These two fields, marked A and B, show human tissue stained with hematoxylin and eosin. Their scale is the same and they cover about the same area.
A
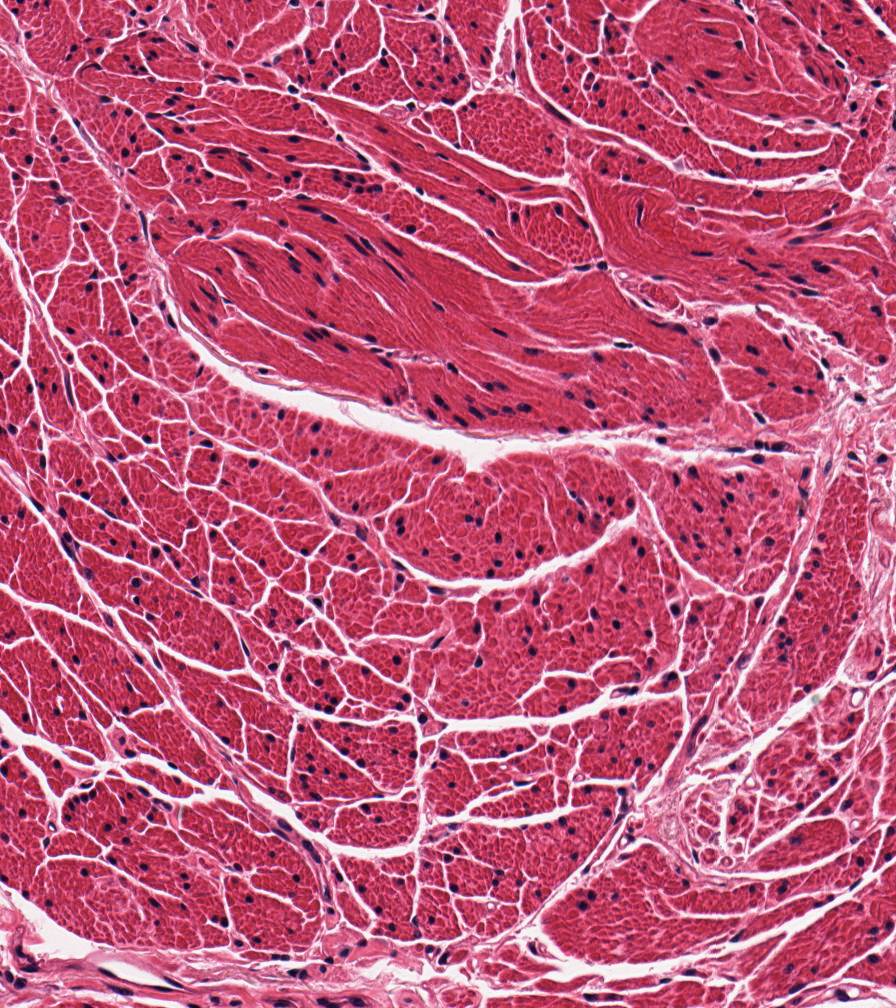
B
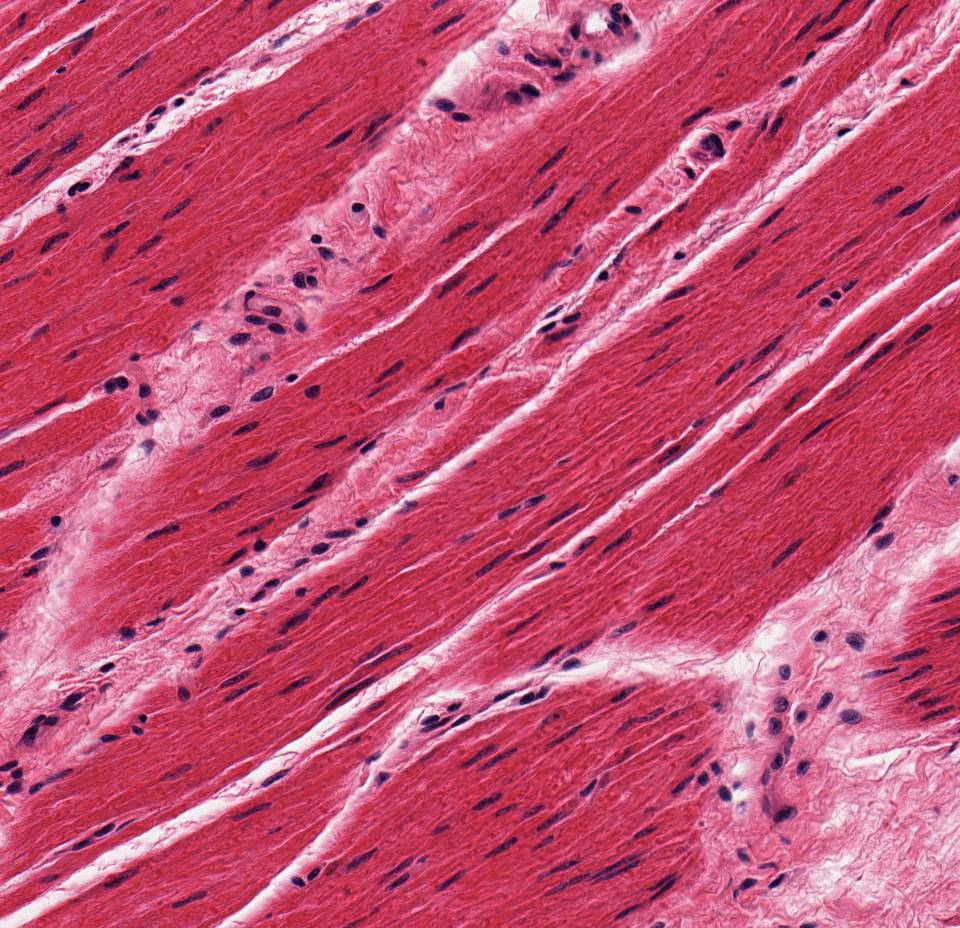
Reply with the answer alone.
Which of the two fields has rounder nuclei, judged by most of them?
A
